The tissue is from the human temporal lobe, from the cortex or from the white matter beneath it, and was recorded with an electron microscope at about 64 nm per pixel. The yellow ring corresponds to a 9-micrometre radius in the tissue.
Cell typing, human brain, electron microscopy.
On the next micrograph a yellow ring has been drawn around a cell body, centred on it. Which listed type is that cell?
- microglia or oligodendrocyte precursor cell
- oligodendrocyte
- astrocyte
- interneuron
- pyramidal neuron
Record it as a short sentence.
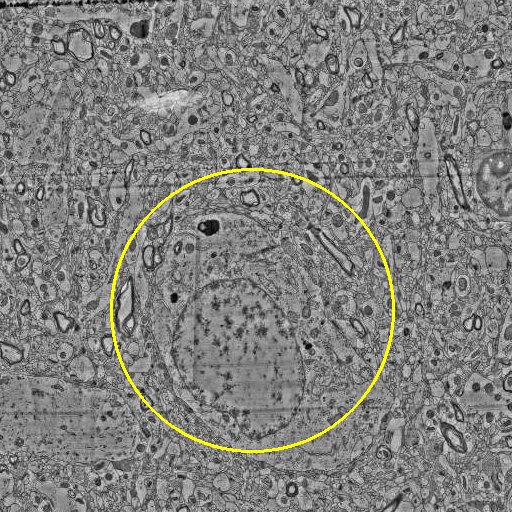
The cell body in the ring's centre belongs to a pyramidal neuron.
